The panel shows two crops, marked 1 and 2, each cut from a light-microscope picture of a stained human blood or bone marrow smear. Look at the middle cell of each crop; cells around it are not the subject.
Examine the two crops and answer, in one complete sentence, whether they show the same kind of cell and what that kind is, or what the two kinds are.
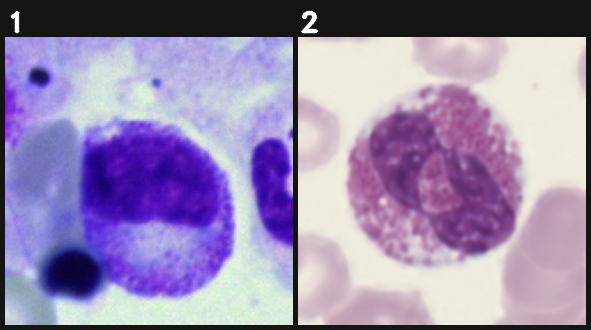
No, crop 1 captures a metamyelocyte, and crop 2 captures an eosinophil.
